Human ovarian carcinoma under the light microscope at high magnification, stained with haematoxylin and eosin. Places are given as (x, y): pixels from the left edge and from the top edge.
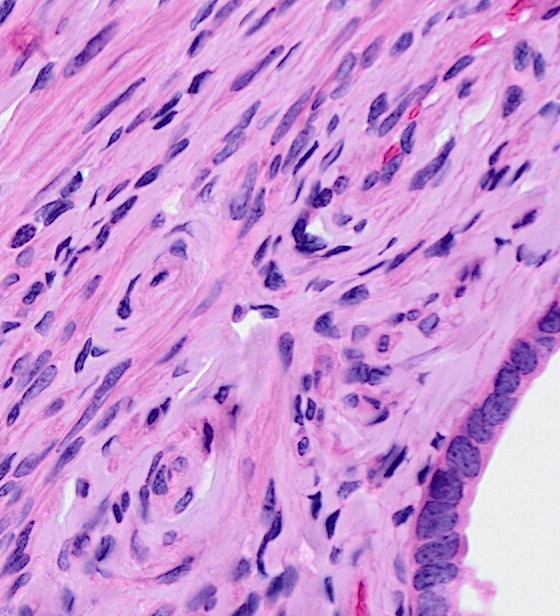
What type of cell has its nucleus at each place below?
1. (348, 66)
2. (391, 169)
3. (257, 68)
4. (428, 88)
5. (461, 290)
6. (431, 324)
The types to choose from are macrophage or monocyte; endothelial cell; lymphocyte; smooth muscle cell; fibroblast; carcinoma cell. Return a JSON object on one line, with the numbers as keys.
{"1": "smooth muscle cell", "2": "endothelial cell", "3": "smooth muscle cell", "4": "endothelial cell", "5": "smooth muscle cell", "6": "smooth muscle cell"}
